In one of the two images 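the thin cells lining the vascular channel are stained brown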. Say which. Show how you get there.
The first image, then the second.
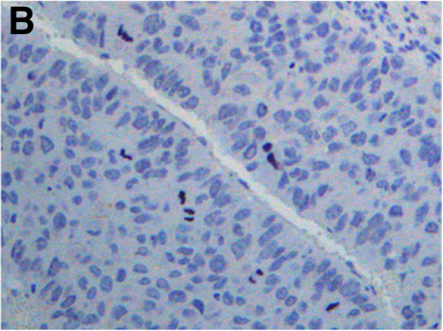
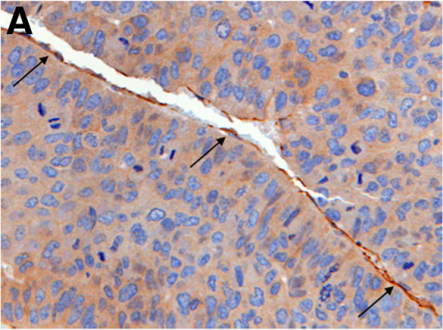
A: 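First image: the slit-like channel between tumour cells has an unstained blue lining. Second image: the same kind of channel is lined by a dark brown layer of flat cells.
Hence: the second image.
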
